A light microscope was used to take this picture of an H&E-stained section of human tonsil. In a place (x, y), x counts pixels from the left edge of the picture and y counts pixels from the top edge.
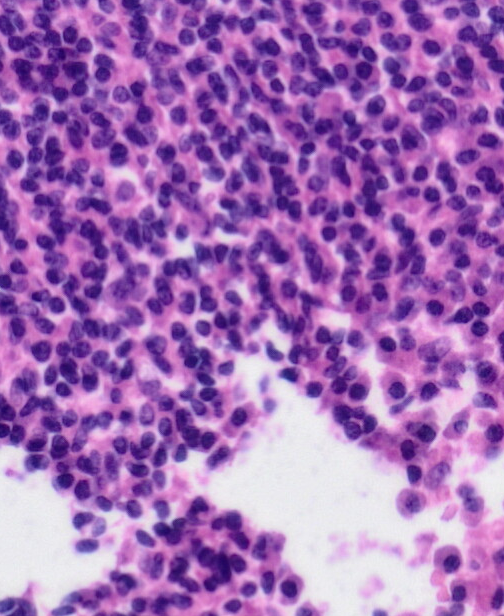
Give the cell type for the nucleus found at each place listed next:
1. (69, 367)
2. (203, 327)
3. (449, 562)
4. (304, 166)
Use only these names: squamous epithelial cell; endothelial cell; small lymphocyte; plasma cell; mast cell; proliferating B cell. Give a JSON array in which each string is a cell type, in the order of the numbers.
["small lymphocyte", "small lymphocyte", "plasma cell", "small lymphocyte"]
